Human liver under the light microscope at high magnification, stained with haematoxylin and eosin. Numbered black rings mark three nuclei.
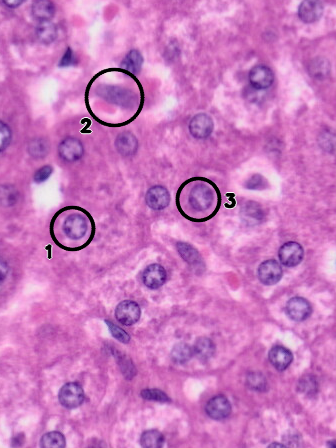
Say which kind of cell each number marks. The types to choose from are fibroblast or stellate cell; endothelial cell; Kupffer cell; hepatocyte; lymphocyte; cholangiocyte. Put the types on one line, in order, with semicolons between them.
hepatocyte; Kupffer cell; hepatocyte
